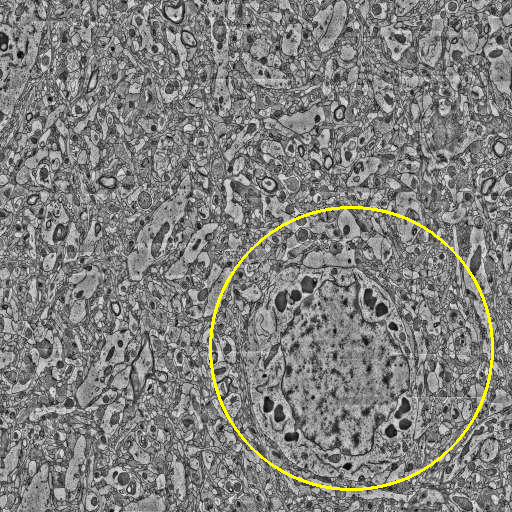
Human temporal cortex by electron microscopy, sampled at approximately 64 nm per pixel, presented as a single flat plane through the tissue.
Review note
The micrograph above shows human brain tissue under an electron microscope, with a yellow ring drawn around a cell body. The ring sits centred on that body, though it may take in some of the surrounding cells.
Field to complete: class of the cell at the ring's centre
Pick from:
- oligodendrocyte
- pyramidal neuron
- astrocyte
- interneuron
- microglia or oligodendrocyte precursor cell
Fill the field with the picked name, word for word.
interneuron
